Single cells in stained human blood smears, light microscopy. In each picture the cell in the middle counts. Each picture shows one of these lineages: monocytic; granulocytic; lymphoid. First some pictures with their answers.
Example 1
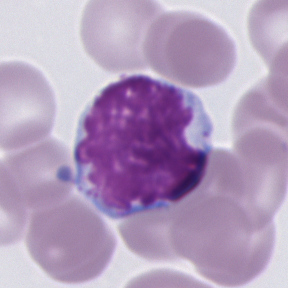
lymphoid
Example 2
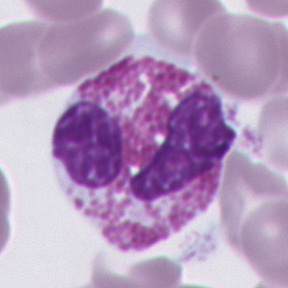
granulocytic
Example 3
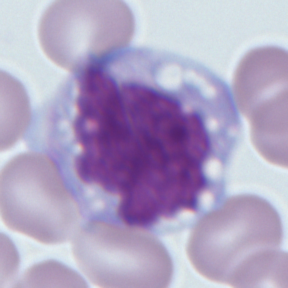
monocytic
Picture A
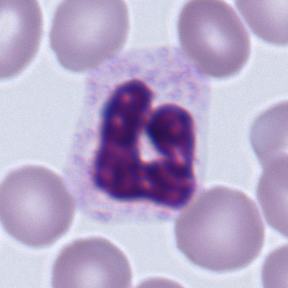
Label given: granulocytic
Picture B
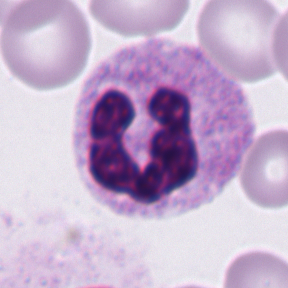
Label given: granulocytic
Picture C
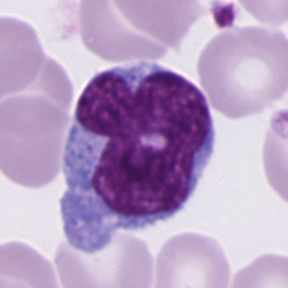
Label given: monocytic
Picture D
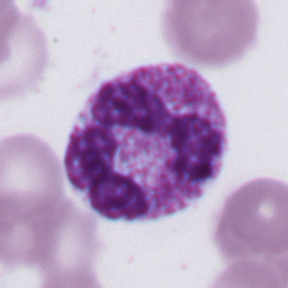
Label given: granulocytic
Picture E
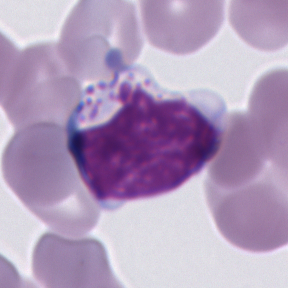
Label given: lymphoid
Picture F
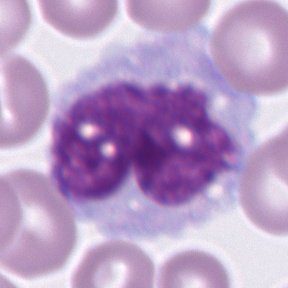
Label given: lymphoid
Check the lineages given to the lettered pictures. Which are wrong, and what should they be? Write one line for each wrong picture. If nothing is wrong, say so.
F: not lymphoid but monocytic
